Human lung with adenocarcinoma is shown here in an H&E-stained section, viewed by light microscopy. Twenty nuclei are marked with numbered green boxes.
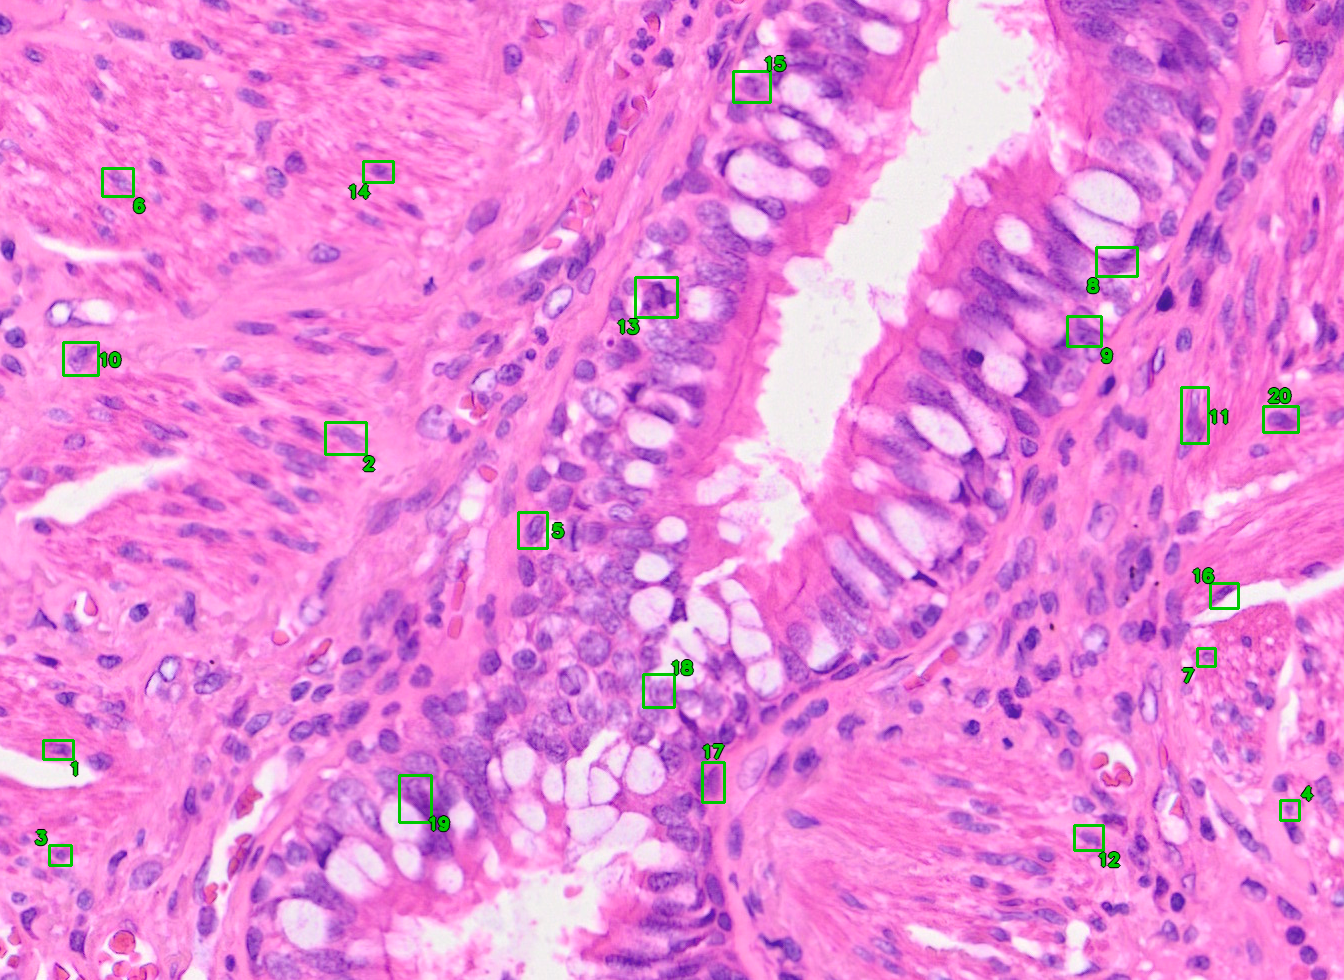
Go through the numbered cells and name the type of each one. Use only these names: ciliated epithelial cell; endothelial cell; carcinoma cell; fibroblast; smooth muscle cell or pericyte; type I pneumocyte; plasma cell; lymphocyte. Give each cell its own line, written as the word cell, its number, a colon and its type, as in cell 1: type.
cell 1: smooth muscle cell or pericyte
cell 2: smooth muscle cell or pericyte
cell 3: smooth muscle cell or pericyte
cell 4: smooth muscle cell or pericyte
cell 5: ciliated epithelial cell
cell 6: smooth muscle cell or pericyte
cell 7: smooth muscle cell or pericyte
cell 8: ciliated epithelial cell
cell 9: ciliated epithelial cell
cell 10: fibroblast
cell 11: smooth muscle cell or pericyte
cell 12: smooth muscle cell or pericyte
cell 13: ciliated epithelial cell
cell 14: smooth muscle cell or pericyte
cell 15: ciliated epithelial cell
cell 16: smooth muscle cell or pericyte
cell 17: ciliated epithelial cell
cell 18: ciliated epithelial cell
cell 19: ciliated epithelial cell
cell 20: smooth muscle cell or pericyte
